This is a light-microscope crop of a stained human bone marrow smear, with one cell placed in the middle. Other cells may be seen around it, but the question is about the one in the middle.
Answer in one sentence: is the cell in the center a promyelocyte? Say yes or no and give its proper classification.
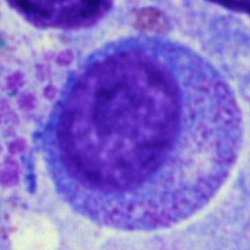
Yes, the cell found at the centre of the crop is a promyelocyte.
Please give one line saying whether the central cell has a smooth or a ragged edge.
The outline traces a smooth curve with no projections along it.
